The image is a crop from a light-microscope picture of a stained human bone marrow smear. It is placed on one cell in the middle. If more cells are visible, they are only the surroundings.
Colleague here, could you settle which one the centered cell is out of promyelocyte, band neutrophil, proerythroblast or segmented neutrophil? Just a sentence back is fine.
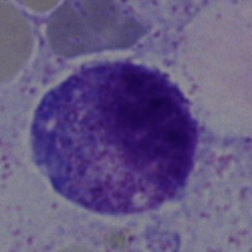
Whatever else lies nearby, the middle cell is a promyelocyte.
